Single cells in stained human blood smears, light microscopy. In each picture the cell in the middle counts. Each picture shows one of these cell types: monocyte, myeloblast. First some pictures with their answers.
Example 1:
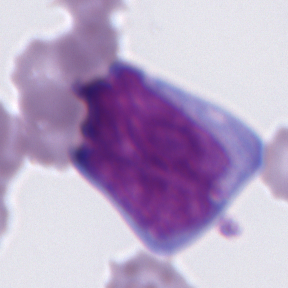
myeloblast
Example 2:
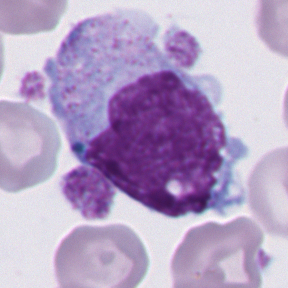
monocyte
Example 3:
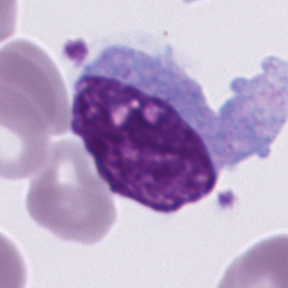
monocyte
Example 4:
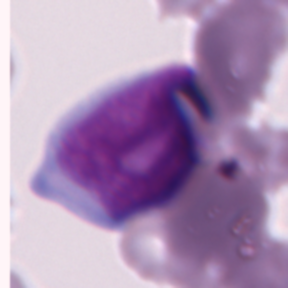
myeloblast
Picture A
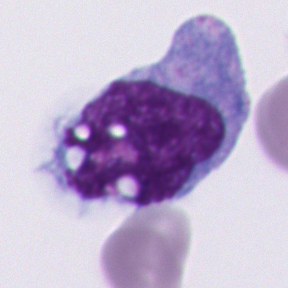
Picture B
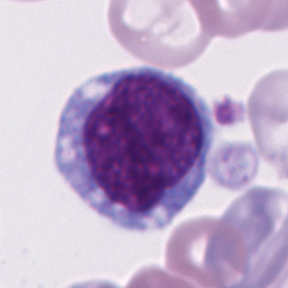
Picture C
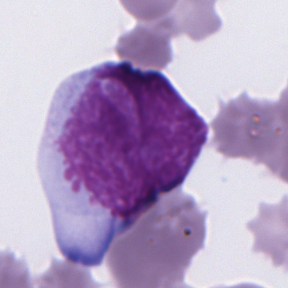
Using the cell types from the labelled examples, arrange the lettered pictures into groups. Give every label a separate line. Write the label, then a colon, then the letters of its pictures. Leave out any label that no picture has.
monocyte: A, B
myeloblast: C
